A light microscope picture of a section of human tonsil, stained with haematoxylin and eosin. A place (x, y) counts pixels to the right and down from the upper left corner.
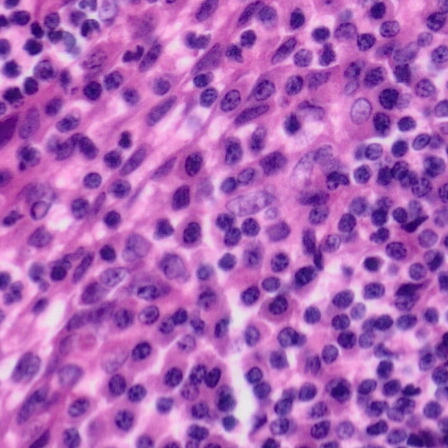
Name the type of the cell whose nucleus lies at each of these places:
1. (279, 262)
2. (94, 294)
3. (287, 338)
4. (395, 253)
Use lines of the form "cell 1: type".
cell 1: plasma cell
cell 2: squamous epithelial cell
cell 3: plasma cell
cell 4: plasma cell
